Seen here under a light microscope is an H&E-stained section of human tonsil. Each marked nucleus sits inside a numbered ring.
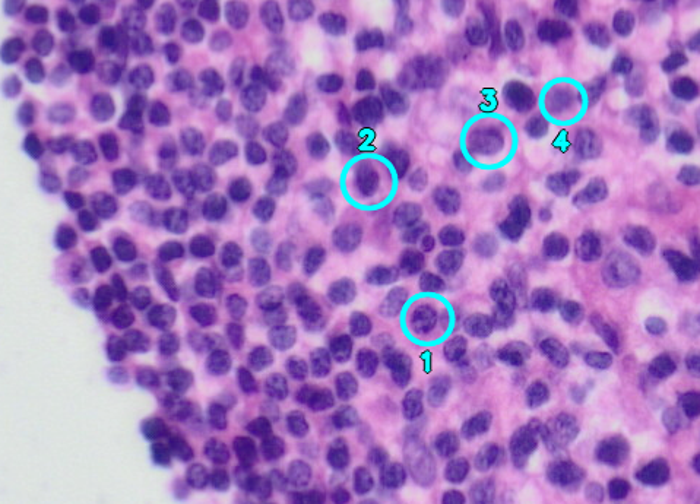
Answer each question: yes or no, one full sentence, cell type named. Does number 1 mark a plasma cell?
Yes, cell number 1 in this section is a plasma cell.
